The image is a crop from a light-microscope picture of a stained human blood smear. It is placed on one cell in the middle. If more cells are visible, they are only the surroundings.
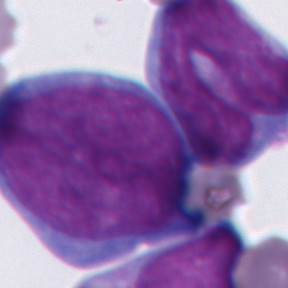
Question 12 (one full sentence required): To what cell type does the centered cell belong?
The cell at the heart of this crop is a myeloblast.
